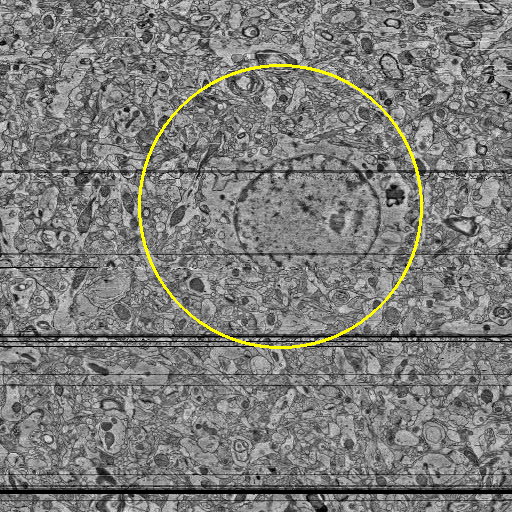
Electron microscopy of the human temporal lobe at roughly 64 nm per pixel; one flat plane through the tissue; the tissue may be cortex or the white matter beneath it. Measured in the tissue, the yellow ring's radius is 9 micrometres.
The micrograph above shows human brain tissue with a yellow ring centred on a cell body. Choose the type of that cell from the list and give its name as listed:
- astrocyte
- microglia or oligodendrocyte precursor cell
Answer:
astrocyte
